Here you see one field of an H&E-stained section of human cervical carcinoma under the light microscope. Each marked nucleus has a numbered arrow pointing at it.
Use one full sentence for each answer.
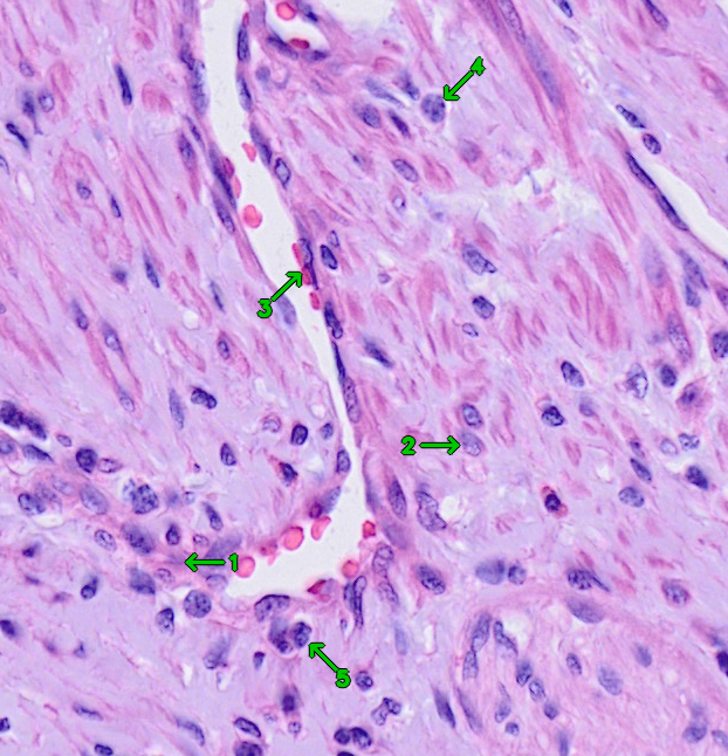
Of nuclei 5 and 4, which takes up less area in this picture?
With nucleus 4 about 1.5 times its size, nucleus 5 is the smaller of the two.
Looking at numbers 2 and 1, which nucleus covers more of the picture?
Nucleus 2 is the larger one, covering about 2 times the area of nucleus 1.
